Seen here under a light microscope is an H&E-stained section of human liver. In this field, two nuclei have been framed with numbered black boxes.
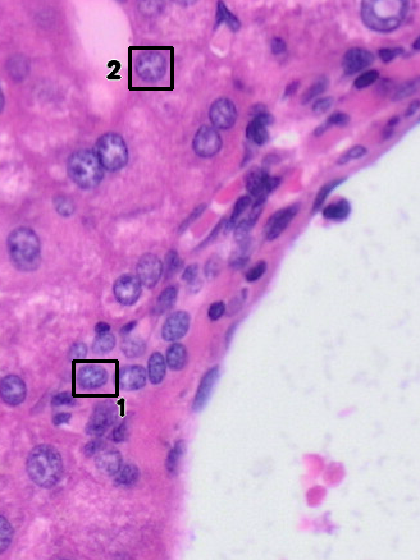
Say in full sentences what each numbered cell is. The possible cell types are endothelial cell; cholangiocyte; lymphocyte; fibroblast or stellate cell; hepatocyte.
Cell 1 is a cholangiocyte. Cell 2 is a hepatocyte.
